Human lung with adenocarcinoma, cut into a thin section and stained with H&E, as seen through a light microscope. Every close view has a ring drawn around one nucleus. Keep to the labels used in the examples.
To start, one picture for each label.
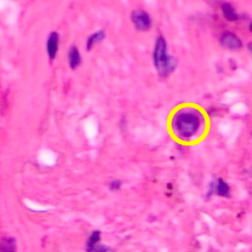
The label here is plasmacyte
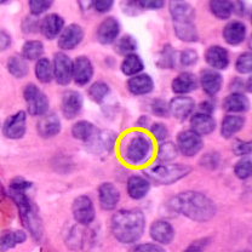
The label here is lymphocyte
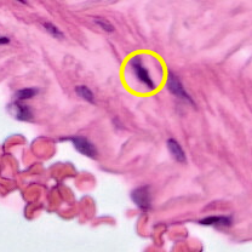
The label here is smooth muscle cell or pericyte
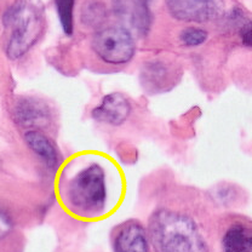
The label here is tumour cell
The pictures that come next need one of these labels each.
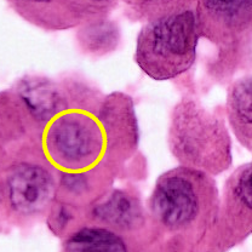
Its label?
tumour cell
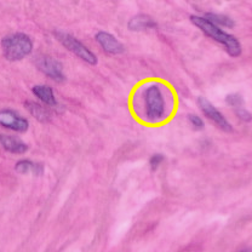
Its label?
smooth muscle cell or pericyte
